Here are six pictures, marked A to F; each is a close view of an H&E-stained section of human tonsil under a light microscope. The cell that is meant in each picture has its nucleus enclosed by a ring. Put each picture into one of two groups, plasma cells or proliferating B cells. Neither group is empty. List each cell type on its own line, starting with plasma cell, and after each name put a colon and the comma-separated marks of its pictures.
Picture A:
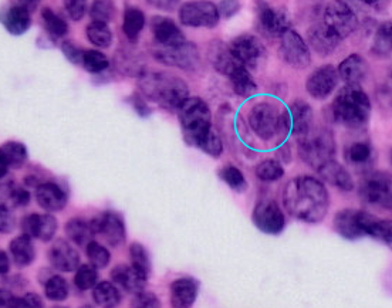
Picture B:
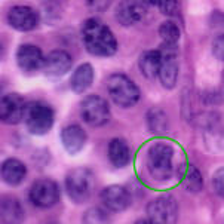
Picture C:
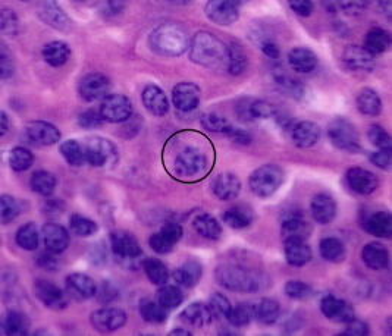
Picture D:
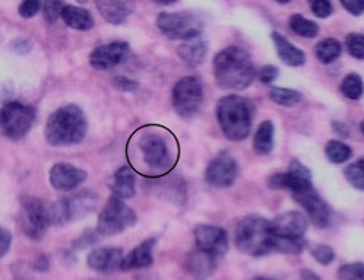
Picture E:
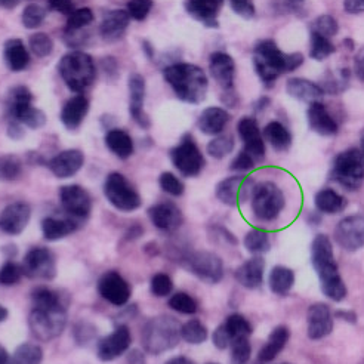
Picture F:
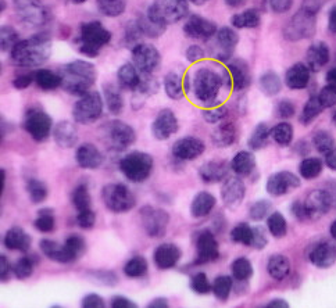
plasma cell: B, C
proliferating B cell: A, D, E, F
